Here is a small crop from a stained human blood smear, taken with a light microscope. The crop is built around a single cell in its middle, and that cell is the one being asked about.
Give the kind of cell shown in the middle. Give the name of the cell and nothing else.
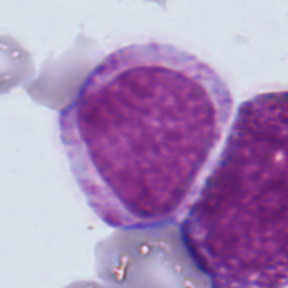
promyelocyte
